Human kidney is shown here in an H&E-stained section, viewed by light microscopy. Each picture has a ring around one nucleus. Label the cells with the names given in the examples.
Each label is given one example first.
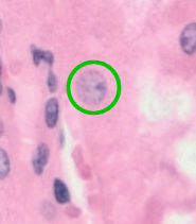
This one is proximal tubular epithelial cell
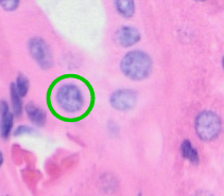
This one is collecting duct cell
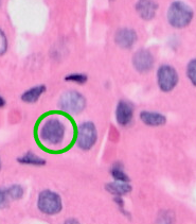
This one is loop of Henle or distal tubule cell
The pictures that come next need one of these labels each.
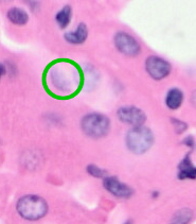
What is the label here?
collecting duct cell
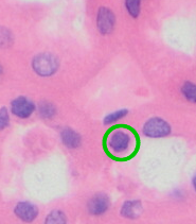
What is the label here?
loop of Henle or distal tubule cell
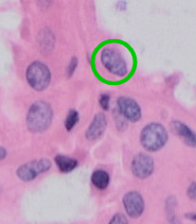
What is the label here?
loop of Henle or distal tubule cell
